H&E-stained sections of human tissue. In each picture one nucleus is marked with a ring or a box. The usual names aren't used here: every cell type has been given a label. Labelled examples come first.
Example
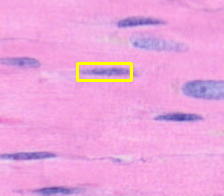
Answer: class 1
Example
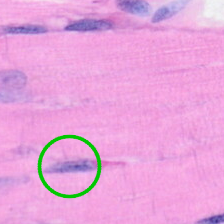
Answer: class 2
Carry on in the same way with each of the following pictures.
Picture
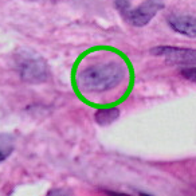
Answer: class 2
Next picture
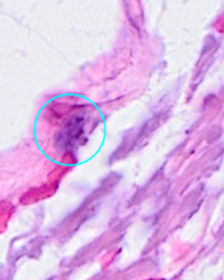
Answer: class 2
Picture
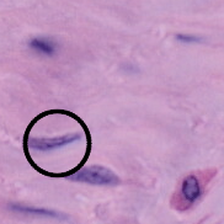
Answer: class 1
